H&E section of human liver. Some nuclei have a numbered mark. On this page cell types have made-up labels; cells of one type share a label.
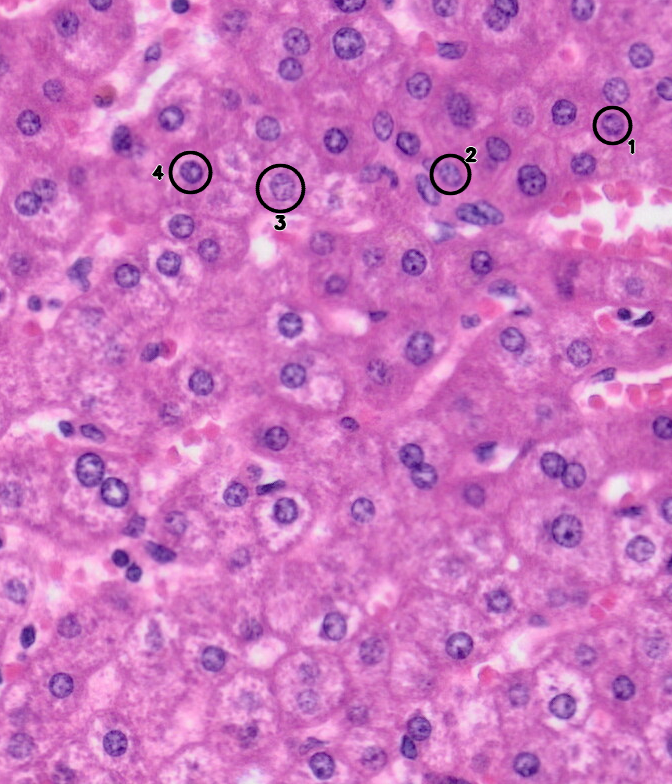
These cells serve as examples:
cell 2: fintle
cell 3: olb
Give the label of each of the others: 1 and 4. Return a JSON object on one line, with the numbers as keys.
{"1": "olb", "4": "olb"}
